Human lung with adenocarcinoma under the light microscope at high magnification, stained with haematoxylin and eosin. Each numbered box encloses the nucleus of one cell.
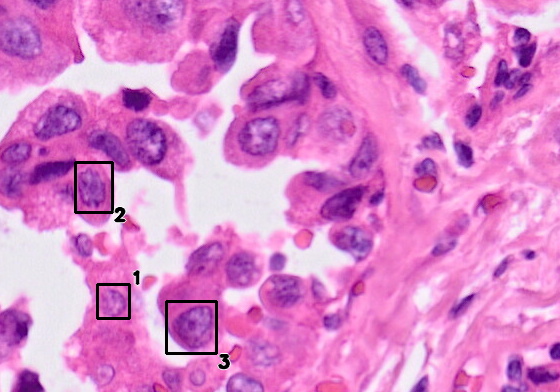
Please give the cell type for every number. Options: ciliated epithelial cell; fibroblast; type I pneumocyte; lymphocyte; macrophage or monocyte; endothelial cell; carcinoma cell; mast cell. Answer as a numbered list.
1. macrophage or monocyte
2. carcinoma cell
3. carcinoma cell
